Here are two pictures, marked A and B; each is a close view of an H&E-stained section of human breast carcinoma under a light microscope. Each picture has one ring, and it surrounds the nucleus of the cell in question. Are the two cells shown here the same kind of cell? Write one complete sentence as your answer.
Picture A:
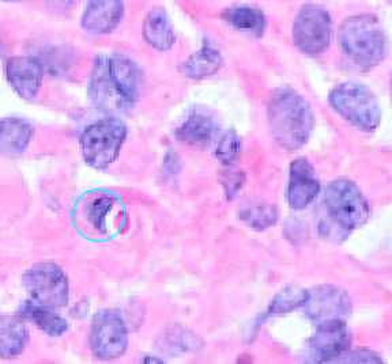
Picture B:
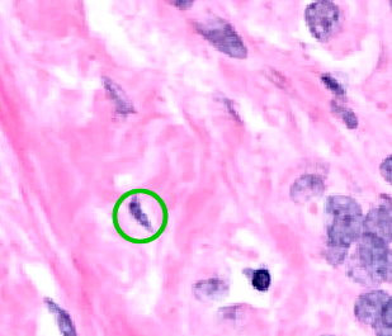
No. Picture A shows an endothelial cell, but picture B shows a fibroblast.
